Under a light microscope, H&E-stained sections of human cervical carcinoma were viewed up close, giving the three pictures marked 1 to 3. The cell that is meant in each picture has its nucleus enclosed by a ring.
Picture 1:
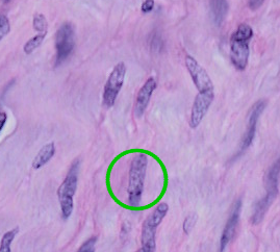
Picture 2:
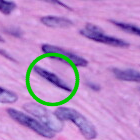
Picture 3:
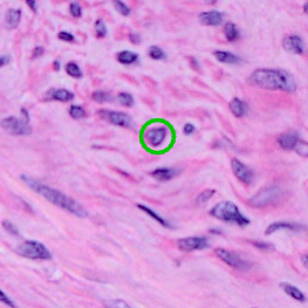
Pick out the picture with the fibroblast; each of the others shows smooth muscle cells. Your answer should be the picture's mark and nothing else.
2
